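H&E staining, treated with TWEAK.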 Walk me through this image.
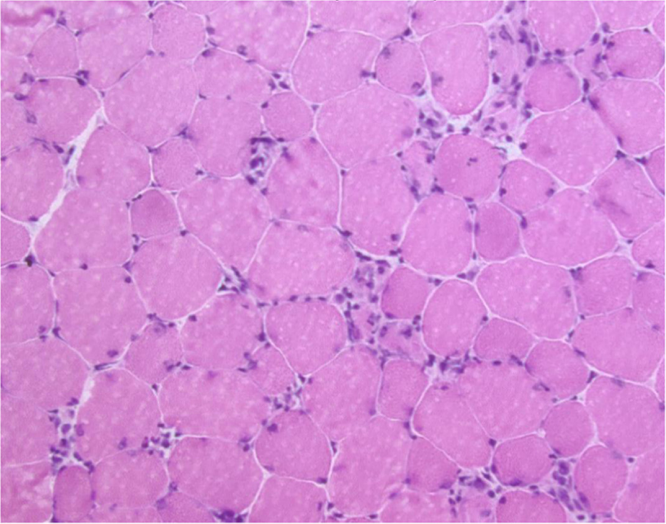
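This cross section of skeletal muscle shows pink fibers that are more rounded than polygonal and clearly unequal in size. Many dark purple nuclei crowd the spaces between the fibers, especially where several fibers meet. These are signs of a diseased muscle rather than a healthy one.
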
